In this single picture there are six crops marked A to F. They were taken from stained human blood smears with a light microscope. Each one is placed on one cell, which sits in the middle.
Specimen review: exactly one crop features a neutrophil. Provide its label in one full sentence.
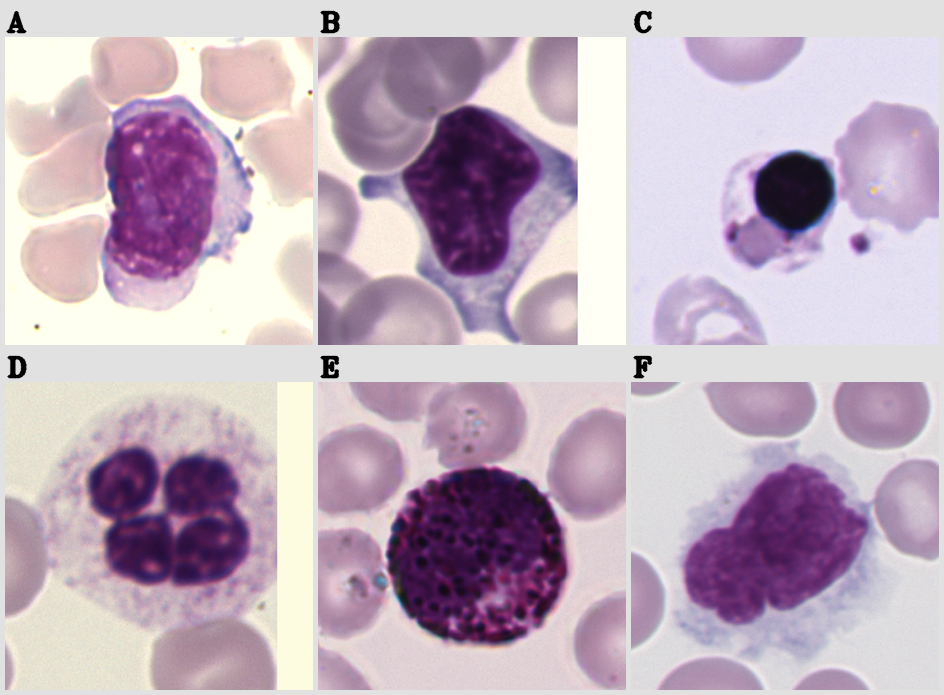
Crop D is the right one; it is the crop showing a neutrophil.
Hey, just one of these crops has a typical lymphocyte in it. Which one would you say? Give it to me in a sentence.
Crop B is where a typical lymphocyte is to be found.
